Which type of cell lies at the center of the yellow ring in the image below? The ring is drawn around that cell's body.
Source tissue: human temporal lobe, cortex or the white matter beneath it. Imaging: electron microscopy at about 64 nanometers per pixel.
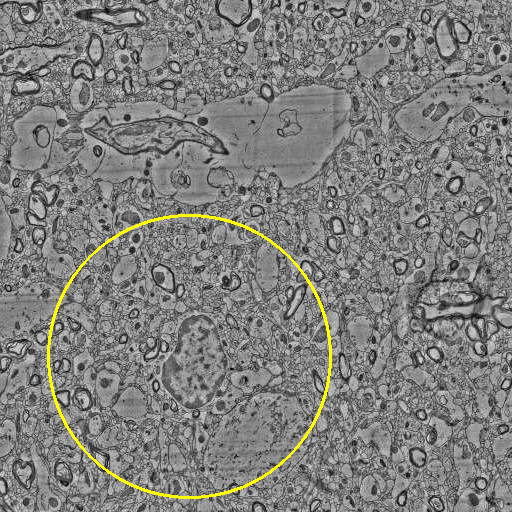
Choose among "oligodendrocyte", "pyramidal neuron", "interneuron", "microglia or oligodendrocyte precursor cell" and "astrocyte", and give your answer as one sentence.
The cell body at the center belongs to a microglial cell or oligodendrocyte precursor cell.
